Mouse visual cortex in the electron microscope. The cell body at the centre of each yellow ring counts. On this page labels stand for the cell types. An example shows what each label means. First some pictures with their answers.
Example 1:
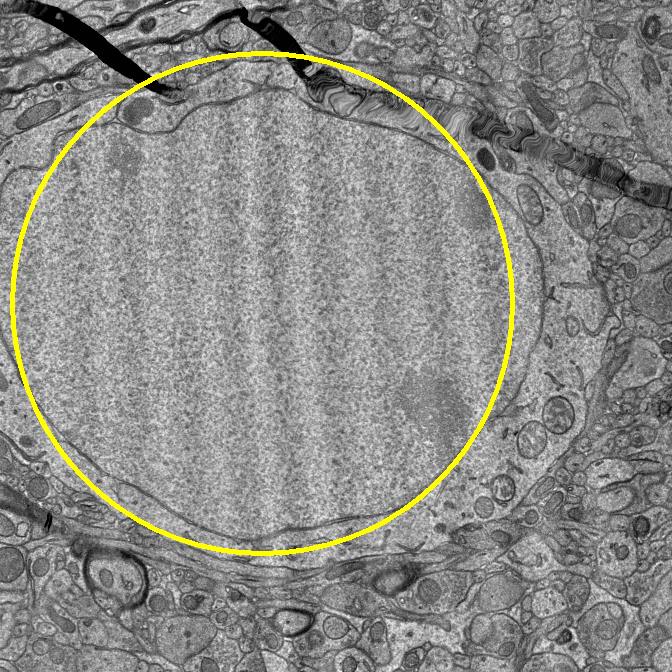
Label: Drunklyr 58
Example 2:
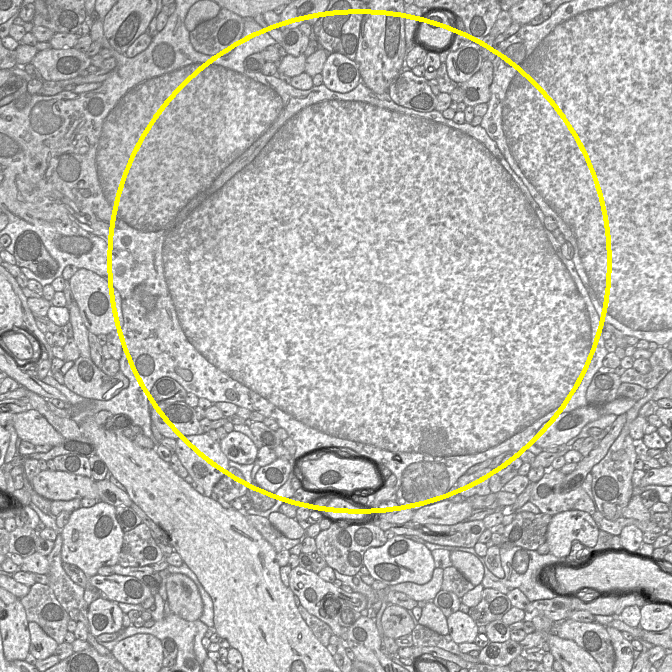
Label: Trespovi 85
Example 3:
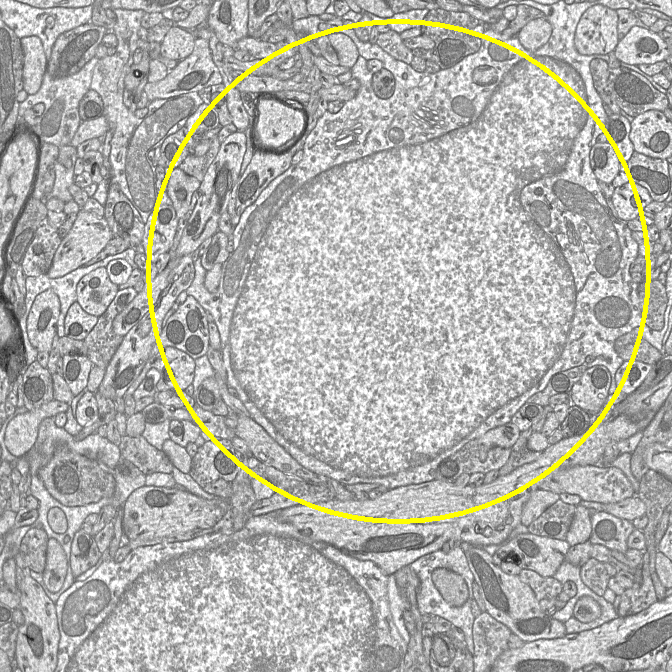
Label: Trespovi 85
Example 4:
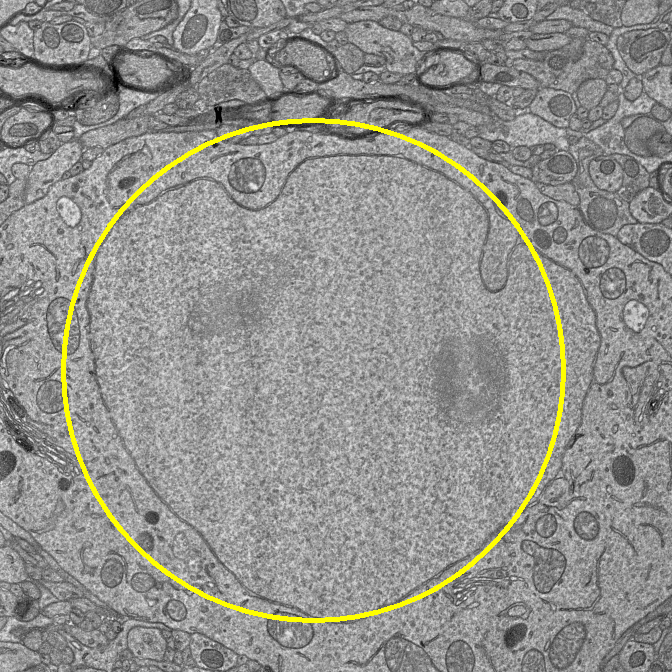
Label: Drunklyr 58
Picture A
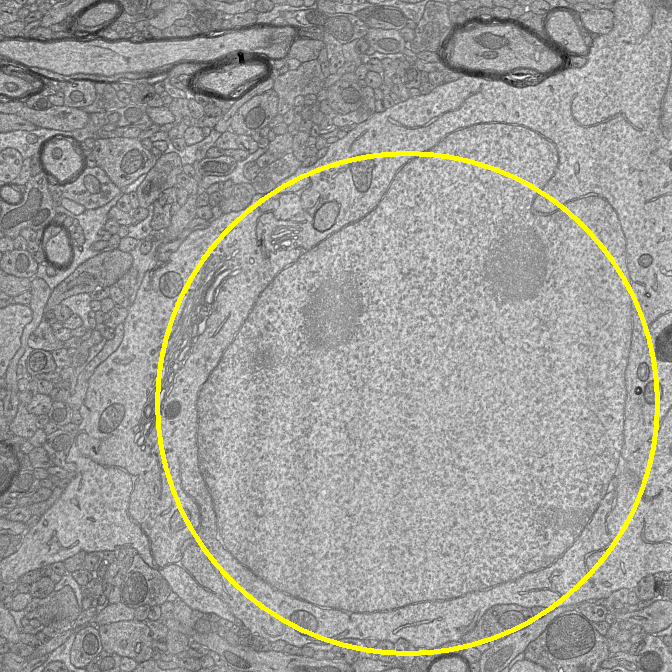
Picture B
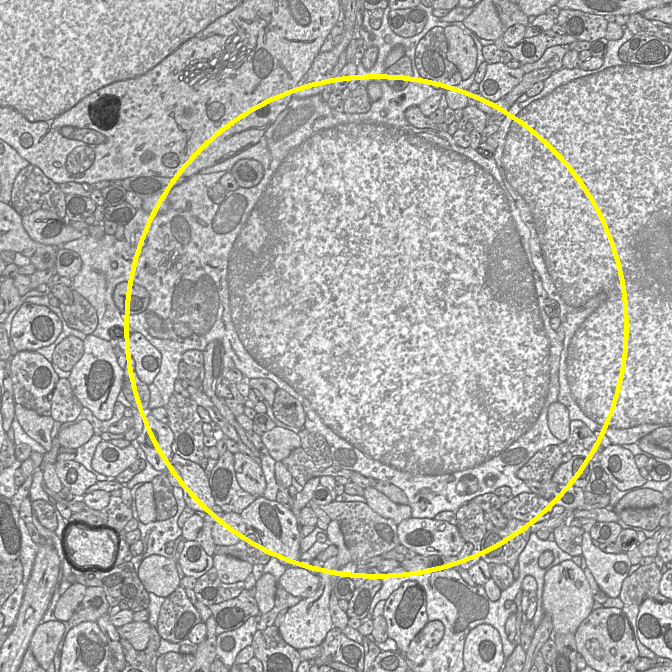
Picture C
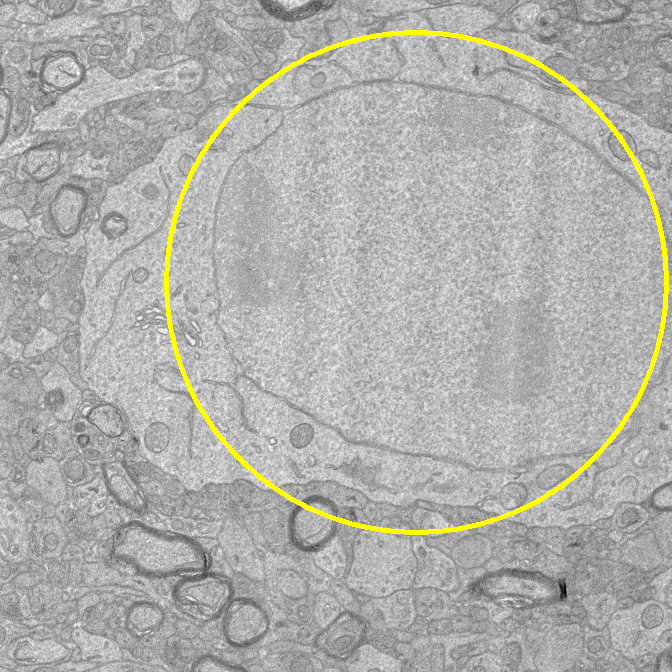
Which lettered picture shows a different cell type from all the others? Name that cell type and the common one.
Odd one out: B (Trespovi 85). The rest: Drunklyr 58.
